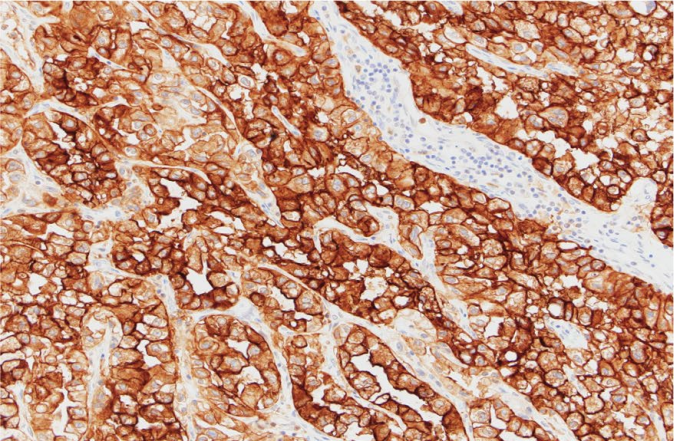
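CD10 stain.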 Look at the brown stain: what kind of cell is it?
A: Tumor cells.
